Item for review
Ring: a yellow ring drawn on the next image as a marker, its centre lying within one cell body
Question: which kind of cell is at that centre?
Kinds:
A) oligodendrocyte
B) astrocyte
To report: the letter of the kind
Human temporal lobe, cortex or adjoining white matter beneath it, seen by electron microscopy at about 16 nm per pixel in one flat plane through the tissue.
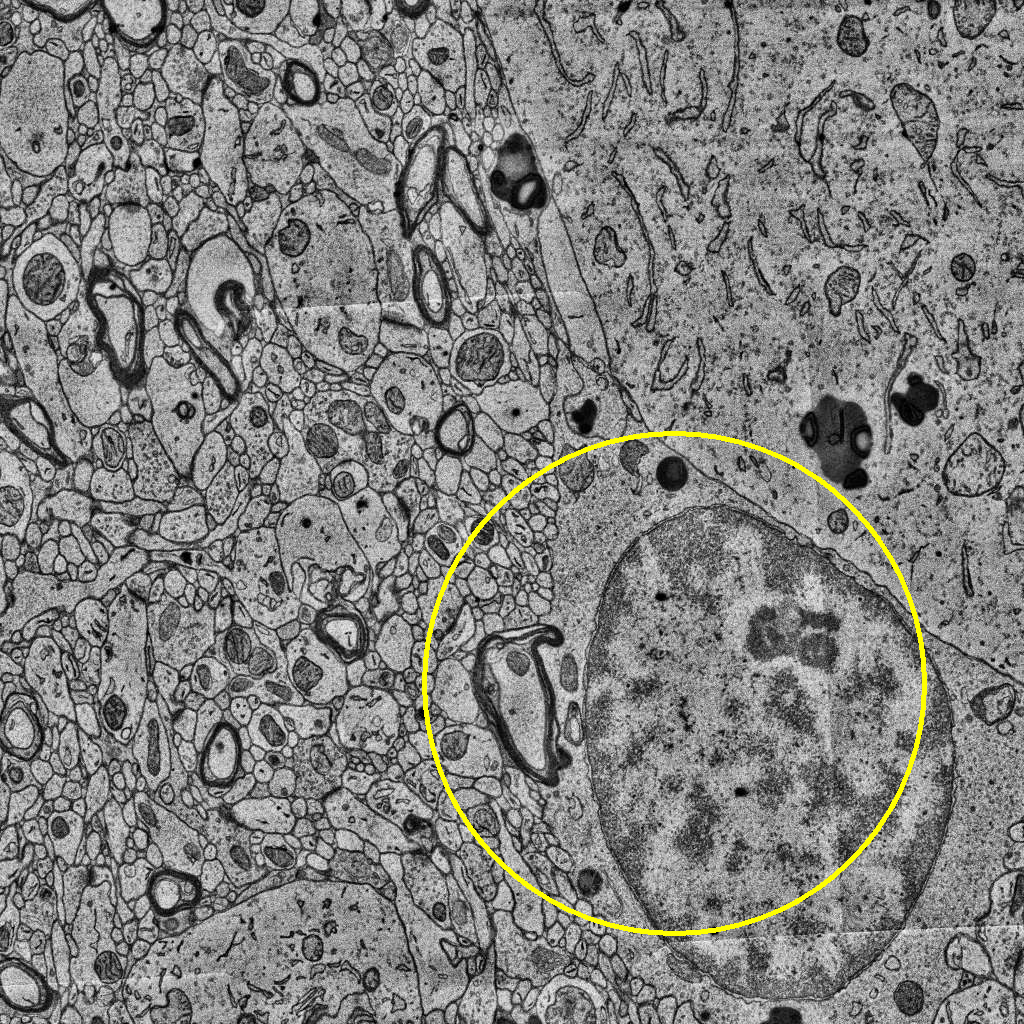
A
